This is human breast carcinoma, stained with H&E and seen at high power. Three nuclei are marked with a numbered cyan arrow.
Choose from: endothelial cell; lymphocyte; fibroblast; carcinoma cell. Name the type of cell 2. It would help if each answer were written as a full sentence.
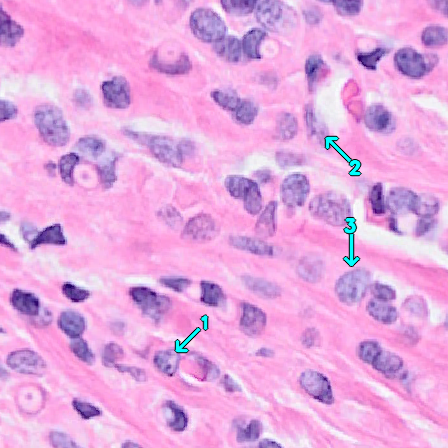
The cell marked with the number 2 is an endothelial cell.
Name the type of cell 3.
Cell 3 is classified as a carcinoma cell.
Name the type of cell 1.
Nucleus 1 in this section belongs to an endothelial cell.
